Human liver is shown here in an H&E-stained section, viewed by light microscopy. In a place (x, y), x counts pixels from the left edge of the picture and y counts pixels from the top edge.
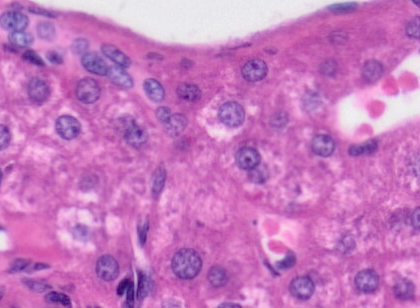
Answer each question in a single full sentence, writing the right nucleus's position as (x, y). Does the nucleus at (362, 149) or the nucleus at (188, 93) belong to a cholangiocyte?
The one nucleus of the two that belongs to a cholangiocyte is at (188, 93).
